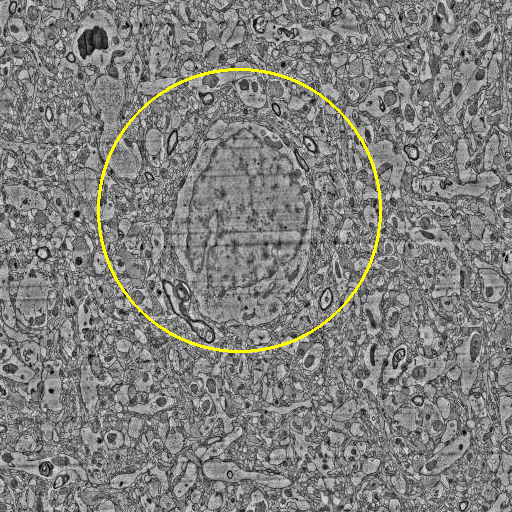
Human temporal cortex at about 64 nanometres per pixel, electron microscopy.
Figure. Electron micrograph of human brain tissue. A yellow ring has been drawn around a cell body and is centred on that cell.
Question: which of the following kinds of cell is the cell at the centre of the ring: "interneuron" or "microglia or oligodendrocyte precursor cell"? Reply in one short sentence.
The cell at the centre of the ring is an interneuron.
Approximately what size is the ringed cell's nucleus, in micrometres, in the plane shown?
In this plane, roughly 10 by 8 micrometres.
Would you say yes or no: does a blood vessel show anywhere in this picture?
No, no blood vessel shows in the picture.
